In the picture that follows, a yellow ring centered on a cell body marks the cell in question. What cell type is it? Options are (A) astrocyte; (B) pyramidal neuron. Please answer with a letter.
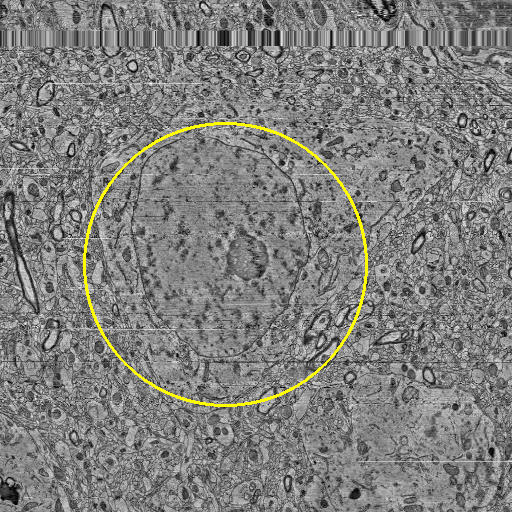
B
